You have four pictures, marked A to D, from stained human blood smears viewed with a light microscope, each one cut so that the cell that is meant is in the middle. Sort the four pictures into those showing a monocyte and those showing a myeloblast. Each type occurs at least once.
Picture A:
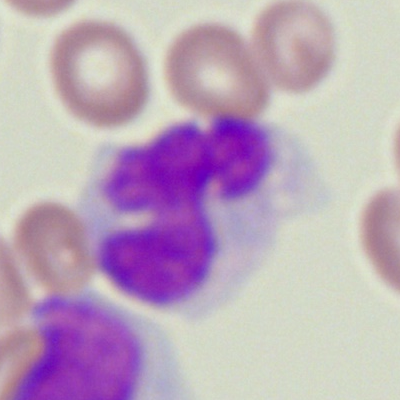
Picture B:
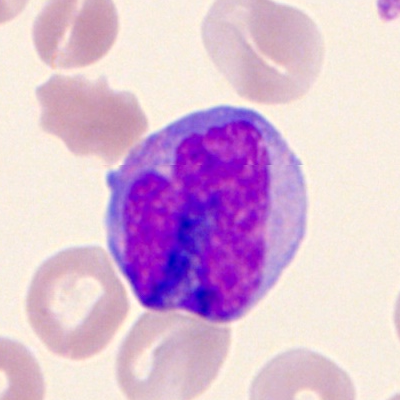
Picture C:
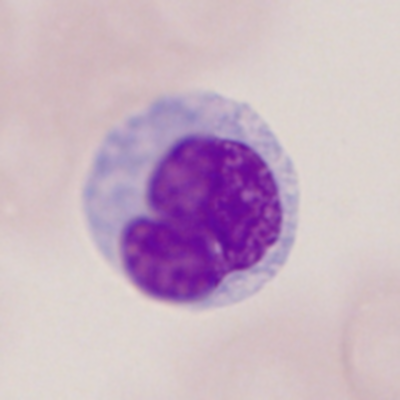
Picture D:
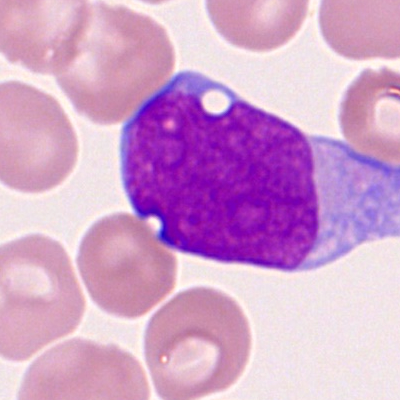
A: monocyte
B: myeloblast
C: monocyte
D: myeloblast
